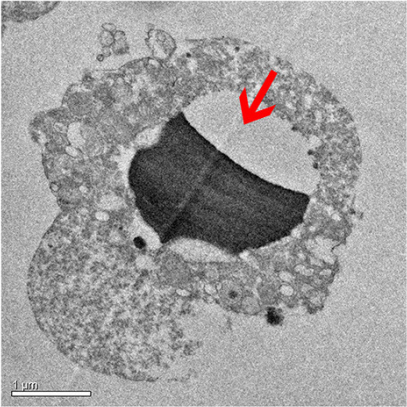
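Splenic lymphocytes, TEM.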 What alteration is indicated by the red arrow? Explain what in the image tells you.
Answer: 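Nuclear vacuolation. The arrow points to a pale, empty space beside a dense dark block in the middle of the cell. The empty space is surrounded by granular cytoplasm.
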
